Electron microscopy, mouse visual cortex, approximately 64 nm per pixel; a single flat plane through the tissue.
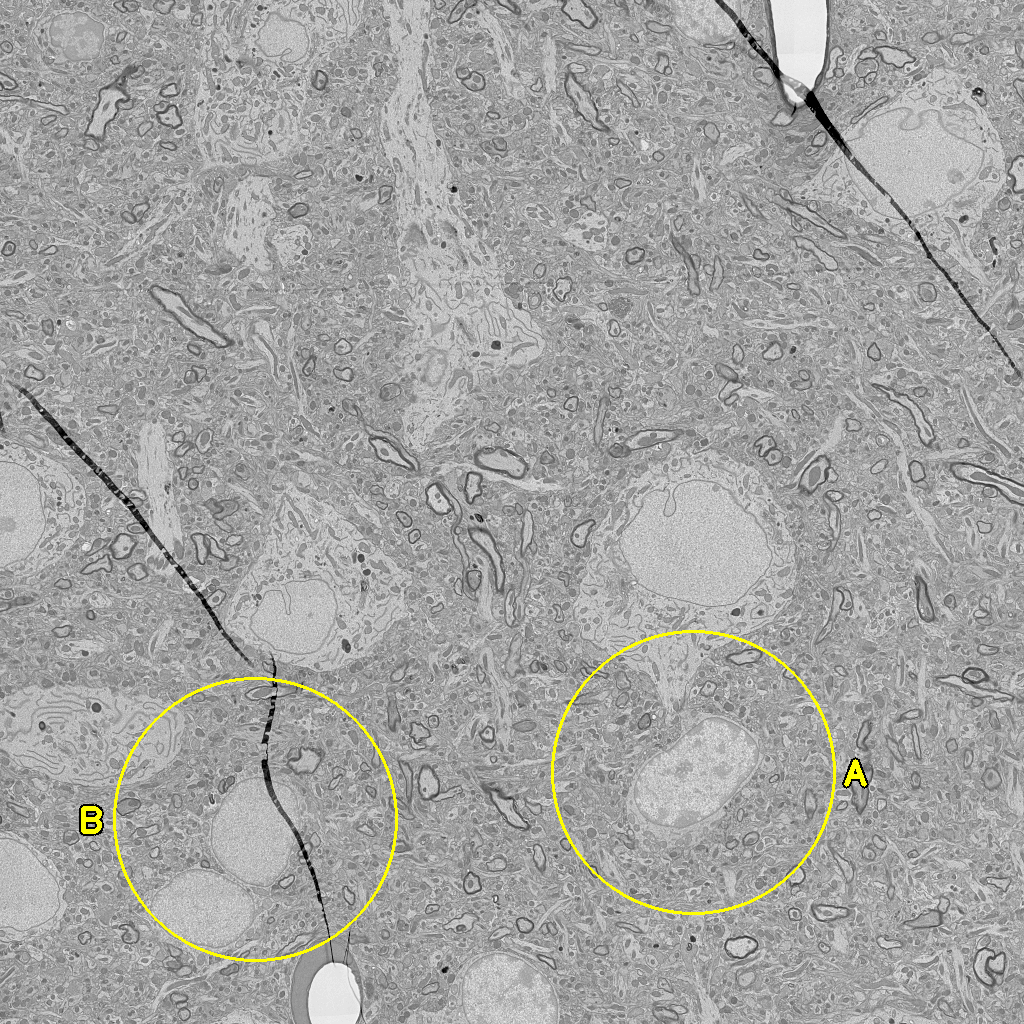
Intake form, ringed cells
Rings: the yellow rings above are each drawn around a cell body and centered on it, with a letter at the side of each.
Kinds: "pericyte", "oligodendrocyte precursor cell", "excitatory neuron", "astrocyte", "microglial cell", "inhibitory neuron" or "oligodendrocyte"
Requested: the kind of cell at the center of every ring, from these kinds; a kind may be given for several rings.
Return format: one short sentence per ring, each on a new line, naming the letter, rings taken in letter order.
In the center of ring A there is an oligodendrocyte.
In the center of ring B there is an astrocyte.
